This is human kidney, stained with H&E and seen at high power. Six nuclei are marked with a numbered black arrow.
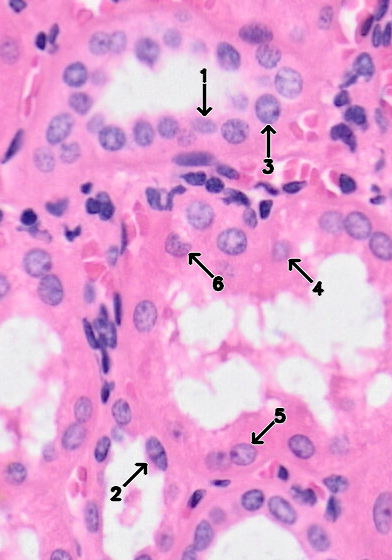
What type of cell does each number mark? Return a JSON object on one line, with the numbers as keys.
{"1": "collecting duct cell", "2": "loop of Henle or distal tubule cell", "3": "collecting duct cell", "4": "proximal tubule cell", "5": "proximal tubule cell", "6": "proximal tubule cell"}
